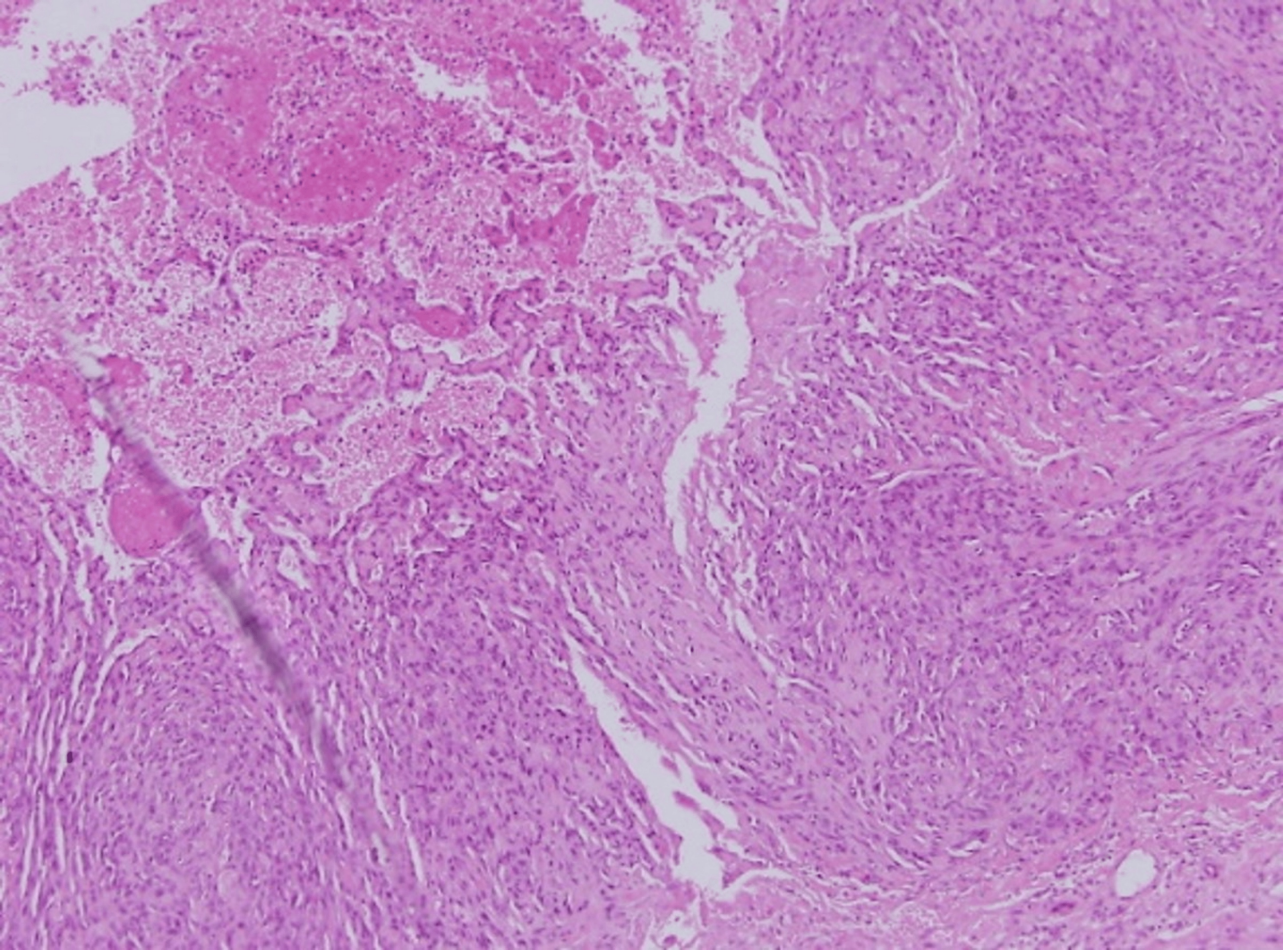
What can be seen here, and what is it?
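This is a tumor seen at intermediate power in pink and purple staining. Most of the field is made of densely packed, elongated cells with dark purple nuclei. They run in sweeping, intersecting bundles that curve and swirl in different directions, with narrow clefts between them. A dark, faint streak running diagonally at the left is an artefact of sectioning.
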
